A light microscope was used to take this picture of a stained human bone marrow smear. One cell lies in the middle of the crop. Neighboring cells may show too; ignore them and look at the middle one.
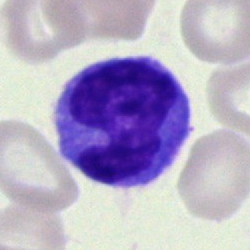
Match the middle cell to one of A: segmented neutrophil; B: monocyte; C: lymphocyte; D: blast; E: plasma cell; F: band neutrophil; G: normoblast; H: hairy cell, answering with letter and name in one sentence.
The correct identification, given in option B, is that the central cell is a monocyte.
